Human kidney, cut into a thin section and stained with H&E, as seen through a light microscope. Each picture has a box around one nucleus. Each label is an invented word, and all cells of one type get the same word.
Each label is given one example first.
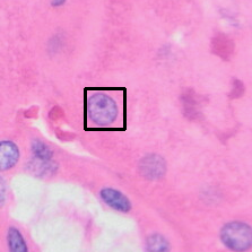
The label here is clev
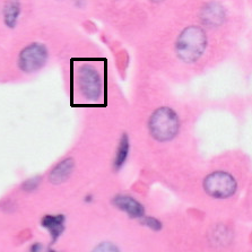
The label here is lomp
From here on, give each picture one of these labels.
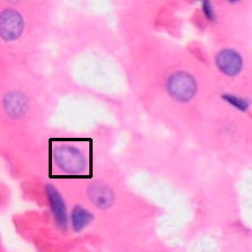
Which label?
clev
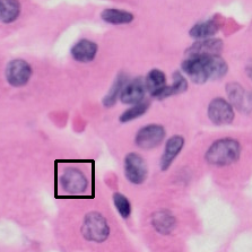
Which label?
clev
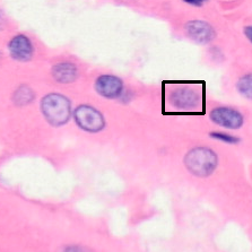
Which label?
lomp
